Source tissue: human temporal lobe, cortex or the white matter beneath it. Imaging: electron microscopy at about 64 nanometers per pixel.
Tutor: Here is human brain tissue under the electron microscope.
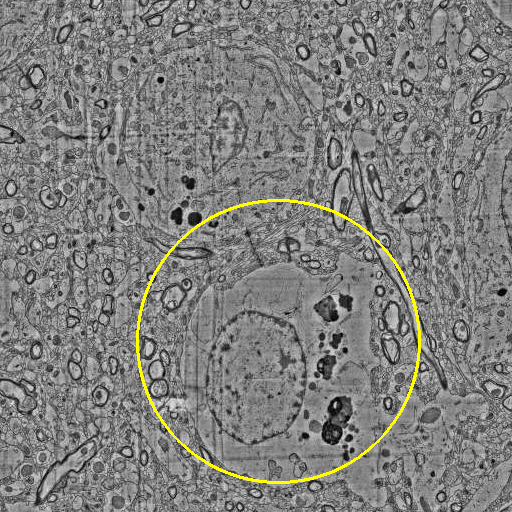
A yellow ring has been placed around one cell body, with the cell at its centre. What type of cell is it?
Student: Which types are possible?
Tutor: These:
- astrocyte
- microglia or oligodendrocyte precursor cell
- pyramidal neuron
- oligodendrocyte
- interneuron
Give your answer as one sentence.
What the ring picks out here is an astrocyte.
